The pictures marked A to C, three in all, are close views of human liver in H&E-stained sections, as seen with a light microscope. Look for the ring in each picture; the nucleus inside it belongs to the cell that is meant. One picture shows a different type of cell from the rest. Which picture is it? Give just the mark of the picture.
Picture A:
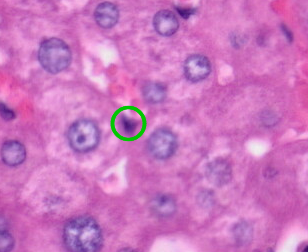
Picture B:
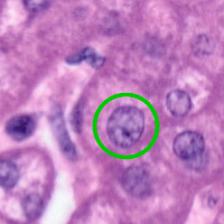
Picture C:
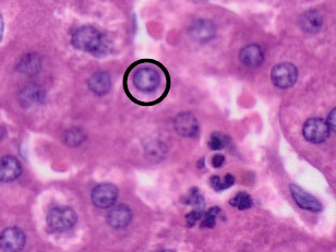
A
